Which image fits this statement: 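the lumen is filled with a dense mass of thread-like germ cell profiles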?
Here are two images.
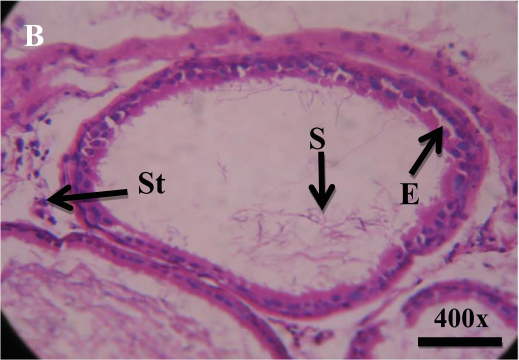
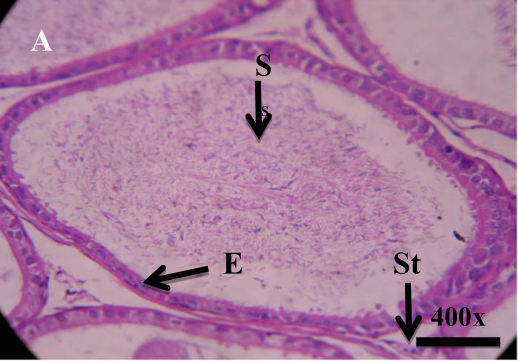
The second image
